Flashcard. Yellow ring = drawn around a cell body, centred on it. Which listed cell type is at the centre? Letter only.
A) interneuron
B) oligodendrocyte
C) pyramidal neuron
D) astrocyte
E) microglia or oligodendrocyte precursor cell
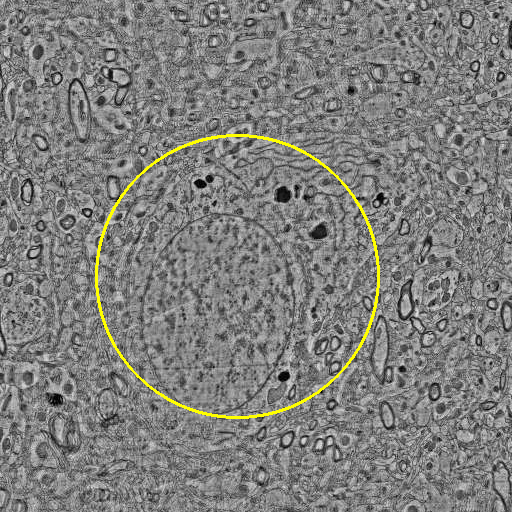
C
